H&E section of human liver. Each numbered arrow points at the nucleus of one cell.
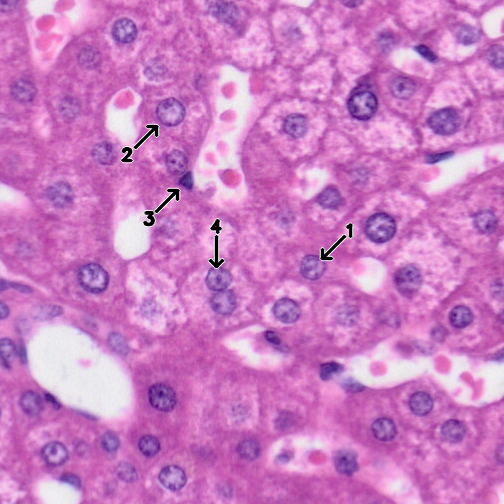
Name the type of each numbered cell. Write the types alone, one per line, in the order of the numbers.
hepatocyte
hepatocyte
fibroblast or stellate cell
hepatocyte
